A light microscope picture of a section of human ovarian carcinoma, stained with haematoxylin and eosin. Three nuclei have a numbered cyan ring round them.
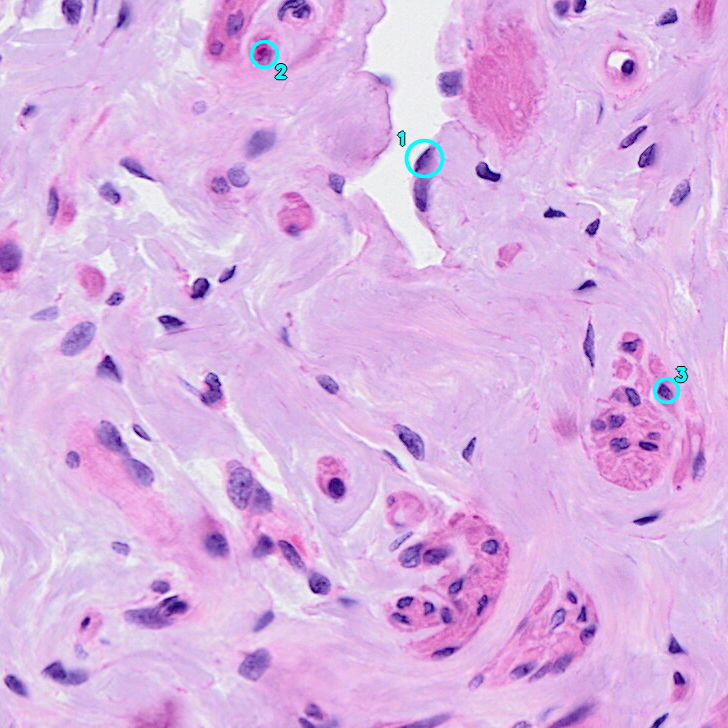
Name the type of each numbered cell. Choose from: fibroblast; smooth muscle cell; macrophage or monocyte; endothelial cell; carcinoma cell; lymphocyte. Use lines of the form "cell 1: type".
cell 1: endothelial cell
cell 2: endothelial cell
cell 3: smooth muscle cell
